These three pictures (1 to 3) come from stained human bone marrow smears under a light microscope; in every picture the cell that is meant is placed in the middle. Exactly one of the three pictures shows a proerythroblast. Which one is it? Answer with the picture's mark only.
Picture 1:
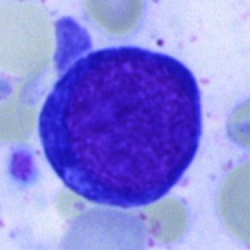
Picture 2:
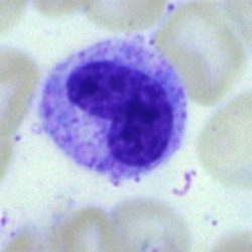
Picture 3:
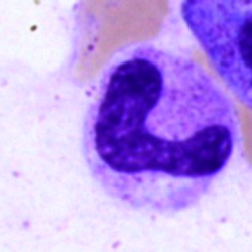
1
